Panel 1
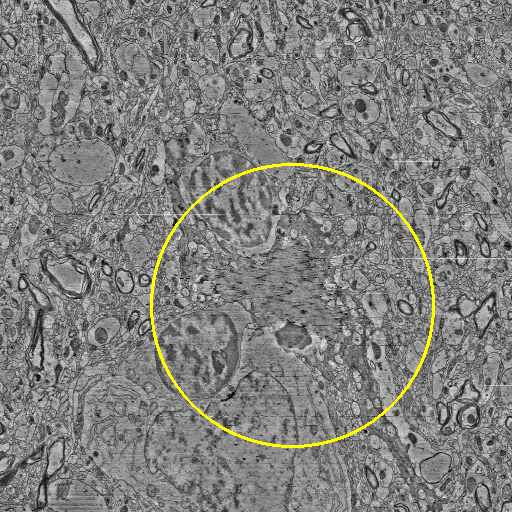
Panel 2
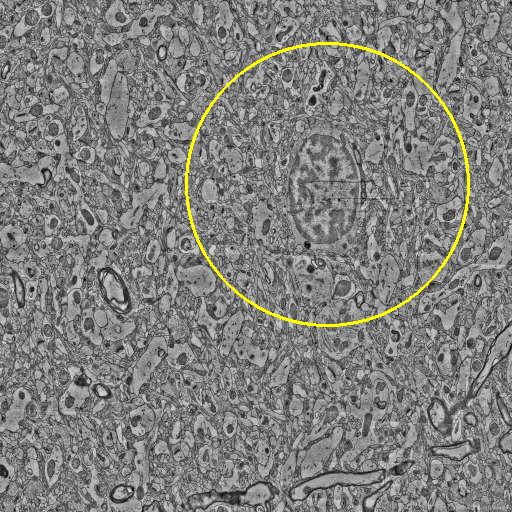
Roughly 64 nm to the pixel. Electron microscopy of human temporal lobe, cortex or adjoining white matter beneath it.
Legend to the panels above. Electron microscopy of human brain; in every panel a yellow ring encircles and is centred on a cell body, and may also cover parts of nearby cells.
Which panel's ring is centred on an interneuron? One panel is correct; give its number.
1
